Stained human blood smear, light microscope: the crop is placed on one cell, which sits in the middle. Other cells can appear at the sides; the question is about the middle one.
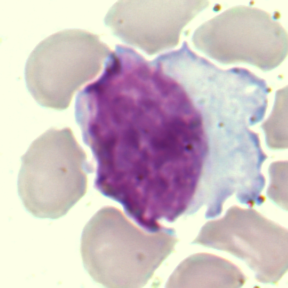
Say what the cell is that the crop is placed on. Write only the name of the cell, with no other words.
plasma cell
